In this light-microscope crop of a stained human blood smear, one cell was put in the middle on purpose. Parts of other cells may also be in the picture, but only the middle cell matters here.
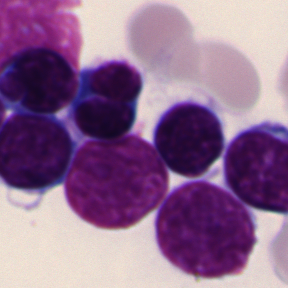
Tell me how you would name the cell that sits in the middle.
myeloblast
